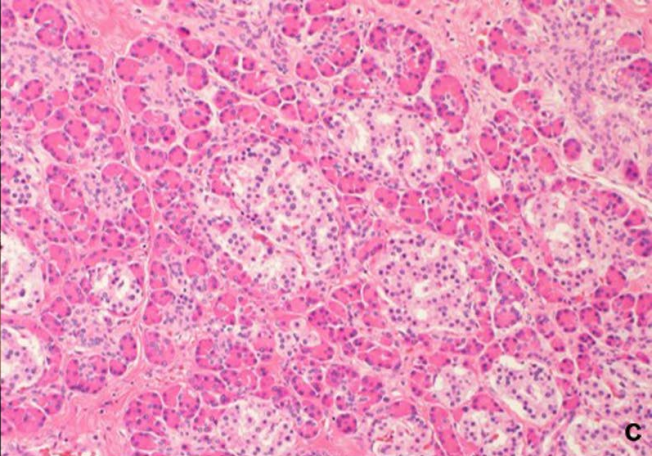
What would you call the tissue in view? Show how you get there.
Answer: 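Many small acini of cells with deeply pink granular cytoplasm and basal round nuclei. Paler clusters of cells with clear to lightly stained cytoplasm lie among the acini. Thin fibrous septa separate the glandular units.
Answer: exocrine and endocrine glands of the pancreas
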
